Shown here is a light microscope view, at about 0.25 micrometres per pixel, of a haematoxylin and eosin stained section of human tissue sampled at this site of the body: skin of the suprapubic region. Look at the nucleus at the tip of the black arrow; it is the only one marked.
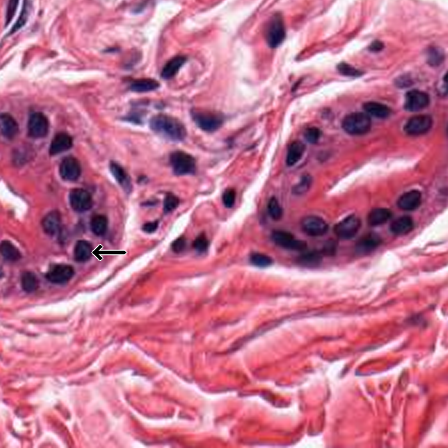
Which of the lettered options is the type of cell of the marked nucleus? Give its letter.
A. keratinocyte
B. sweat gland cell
B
